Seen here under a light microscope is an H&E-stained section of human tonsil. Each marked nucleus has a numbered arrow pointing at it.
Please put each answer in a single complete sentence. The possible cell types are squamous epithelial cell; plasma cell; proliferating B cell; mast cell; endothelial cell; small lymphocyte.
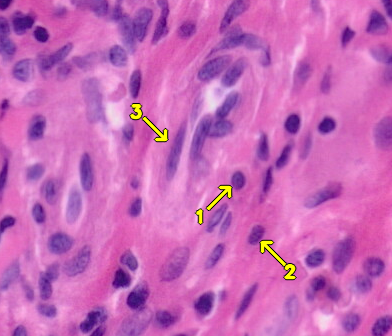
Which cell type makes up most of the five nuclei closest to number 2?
Around number 2, most of the five nearest nuclei are those of endothelial cells.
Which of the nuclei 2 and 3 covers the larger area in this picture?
Nucleus 3 is larger, with an area about 2 times that of nucleus 2.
